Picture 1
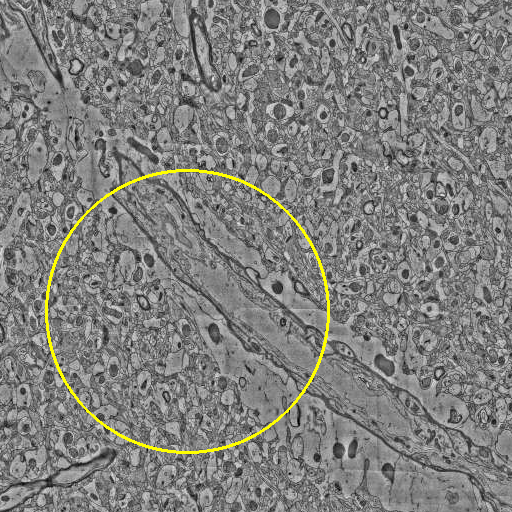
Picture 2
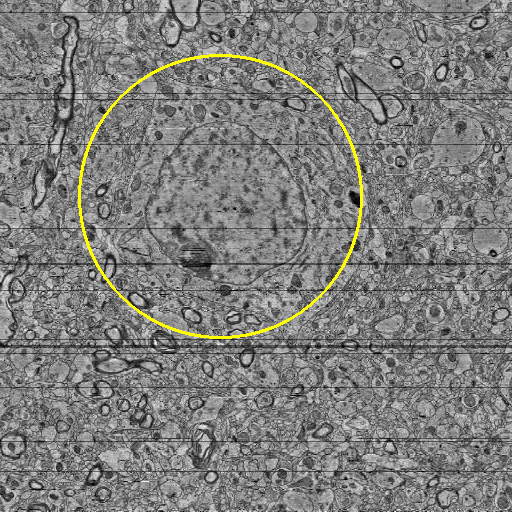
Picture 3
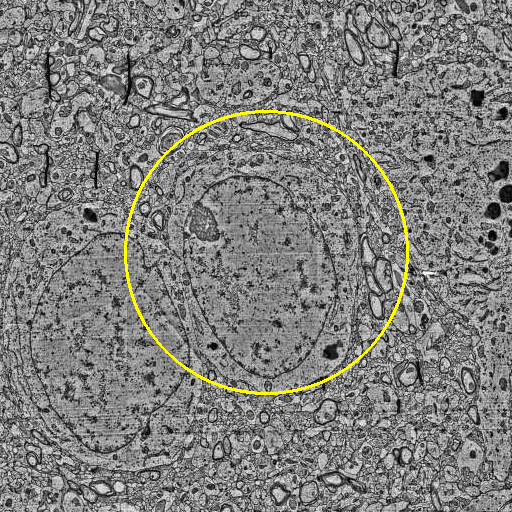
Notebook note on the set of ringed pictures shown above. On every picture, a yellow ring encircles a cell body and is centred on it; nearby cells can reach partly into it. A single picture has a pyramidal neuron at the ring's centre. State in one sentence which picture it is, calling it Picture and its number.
Picture 3 is the one whose ring is centred on the sought cell.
